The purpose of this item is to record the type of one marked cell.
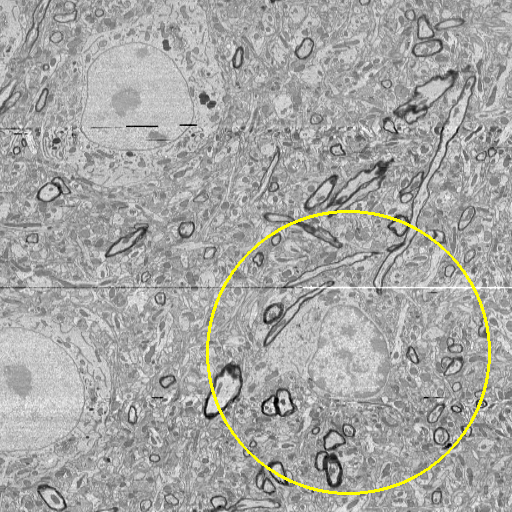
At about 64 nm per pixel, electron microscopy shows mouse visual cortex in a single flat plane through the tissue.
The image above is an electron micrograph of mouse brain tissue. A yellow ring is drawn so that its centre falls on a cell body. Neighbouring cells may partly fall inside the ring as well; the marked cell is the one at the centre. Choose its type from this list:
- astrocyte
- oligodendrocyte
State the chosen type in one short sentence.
What the ring marks here is an oligodendrocyte.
